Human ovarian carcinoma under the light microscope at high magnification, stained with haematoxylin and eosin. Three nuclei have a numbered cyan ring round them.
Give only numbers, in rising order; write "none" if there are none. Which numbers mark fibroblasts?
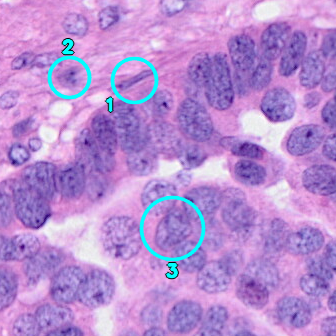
1, 2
